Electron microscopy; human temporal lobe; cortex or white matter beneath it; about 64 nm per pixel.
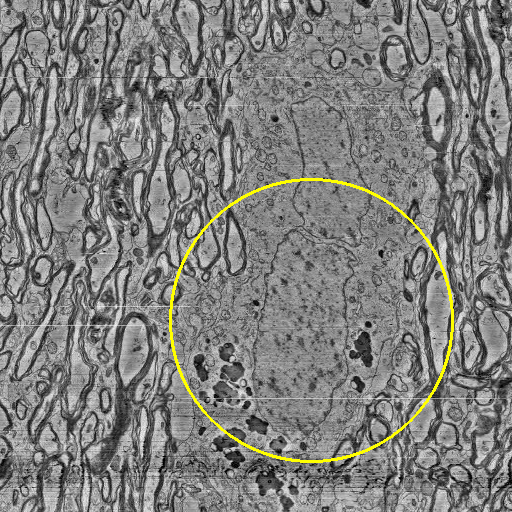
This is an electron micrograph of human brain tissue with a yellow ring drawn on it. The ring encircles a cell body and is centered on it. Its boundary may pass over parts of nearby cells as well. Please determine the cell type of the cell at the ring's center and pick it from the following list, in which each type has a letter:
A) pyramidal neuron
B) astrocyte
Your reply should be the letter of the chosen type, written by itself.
A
